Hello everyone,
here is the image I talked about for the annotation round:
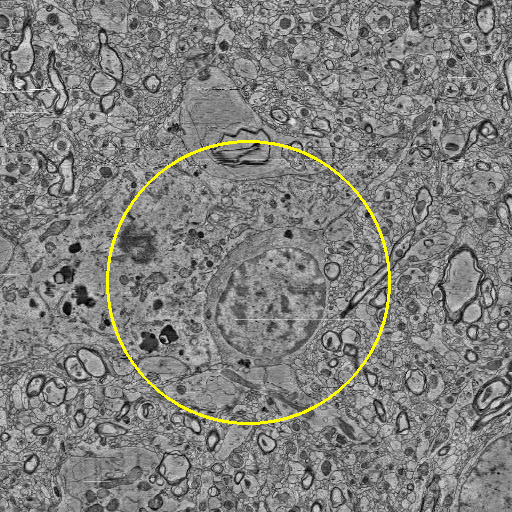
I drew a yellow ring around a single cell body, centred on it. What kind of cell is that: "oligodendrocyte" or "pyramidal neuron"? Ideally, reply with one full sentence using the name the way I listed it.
The cell your yellow ring is centred on is an oligodendrocyte, going by your list.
